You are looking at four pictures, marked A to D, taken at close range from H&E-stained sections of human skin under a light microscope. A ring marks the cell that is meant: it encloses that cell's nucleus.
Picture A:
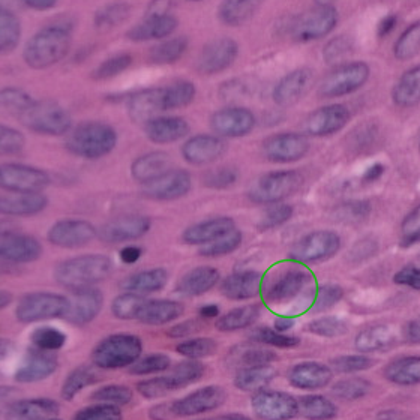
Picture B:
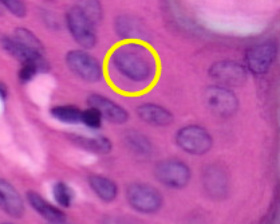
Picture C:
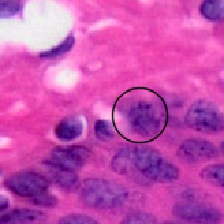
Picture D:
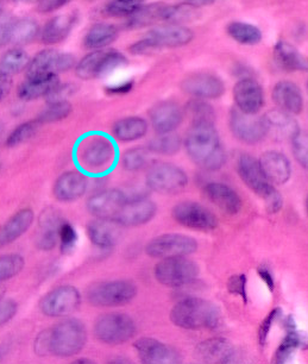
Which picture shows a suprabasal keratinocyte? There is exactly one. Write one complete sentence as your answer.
The suprabasal keratinocyte is the one in picture B.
